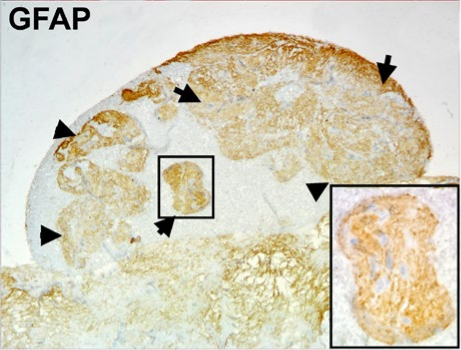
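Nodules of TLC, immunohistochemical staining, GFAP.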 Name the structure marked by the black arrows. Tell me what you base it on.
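Arrows point to discrete brown-stained clusters within the nodule. Clusters are separated by paler, unstained areas. The boxed cluster, enlarged in the inset, is a compact brown fibrillary aggregate.
Cell conglomerates.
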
